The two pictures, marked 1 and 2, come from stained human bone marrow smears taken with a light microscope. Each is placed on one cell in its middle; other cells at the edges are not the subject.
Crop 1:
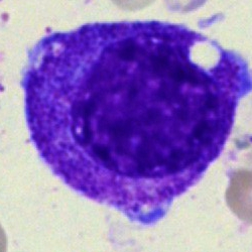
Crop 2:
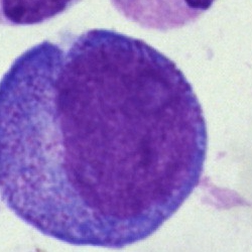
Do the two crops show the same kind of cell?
yes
